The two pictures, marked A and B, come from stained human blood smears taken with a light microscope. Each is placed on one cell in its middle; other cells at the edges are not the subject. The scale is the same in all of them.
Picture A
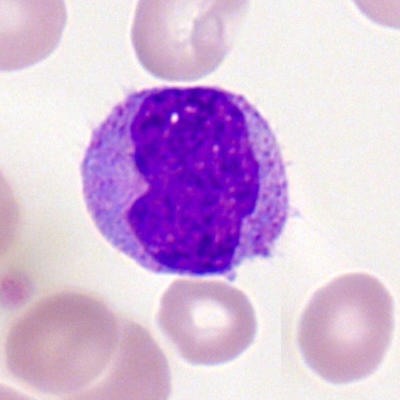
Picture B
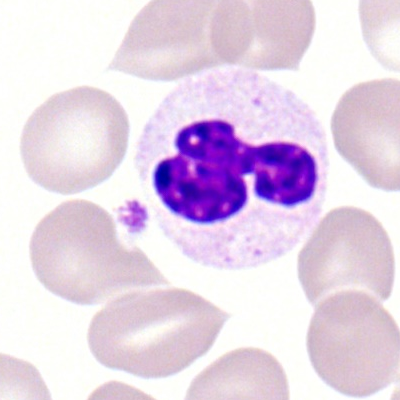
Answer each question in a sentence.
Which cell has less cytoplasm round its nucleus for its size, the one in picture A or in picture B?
It is the cell in picture A that is filled more by its nucleus.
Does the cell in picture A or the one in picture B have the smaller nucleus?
It is the nucleus in picture B; the one in picture A has about 2 times its area.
